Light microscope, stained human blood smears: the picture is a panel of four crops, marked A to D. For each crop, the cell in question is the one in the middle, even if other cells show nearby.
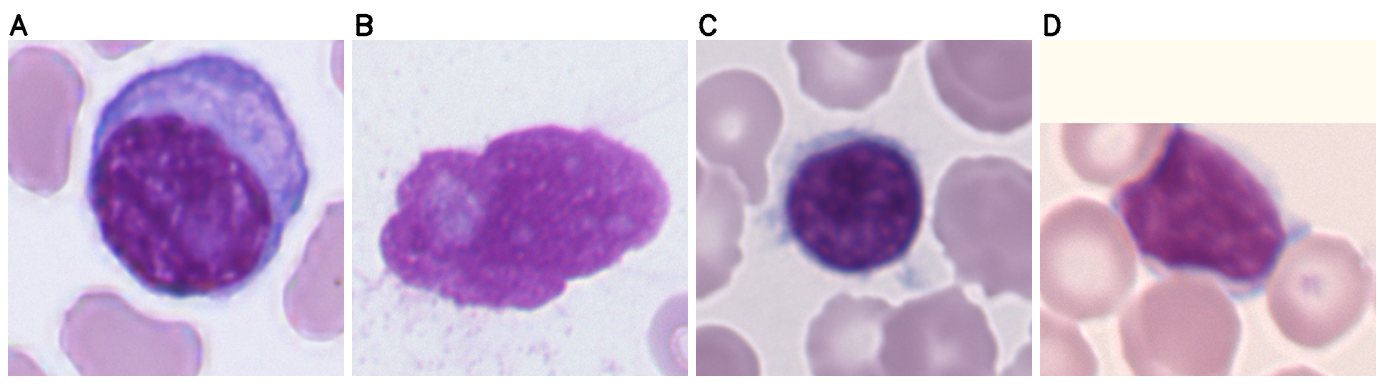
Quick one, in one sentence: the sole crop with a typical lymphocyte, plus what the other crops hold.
It is crop D that shows a typical lymphocyte, while crop A is a plasma cell, crop B is a smudge cell and crop C is a hairy cell.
